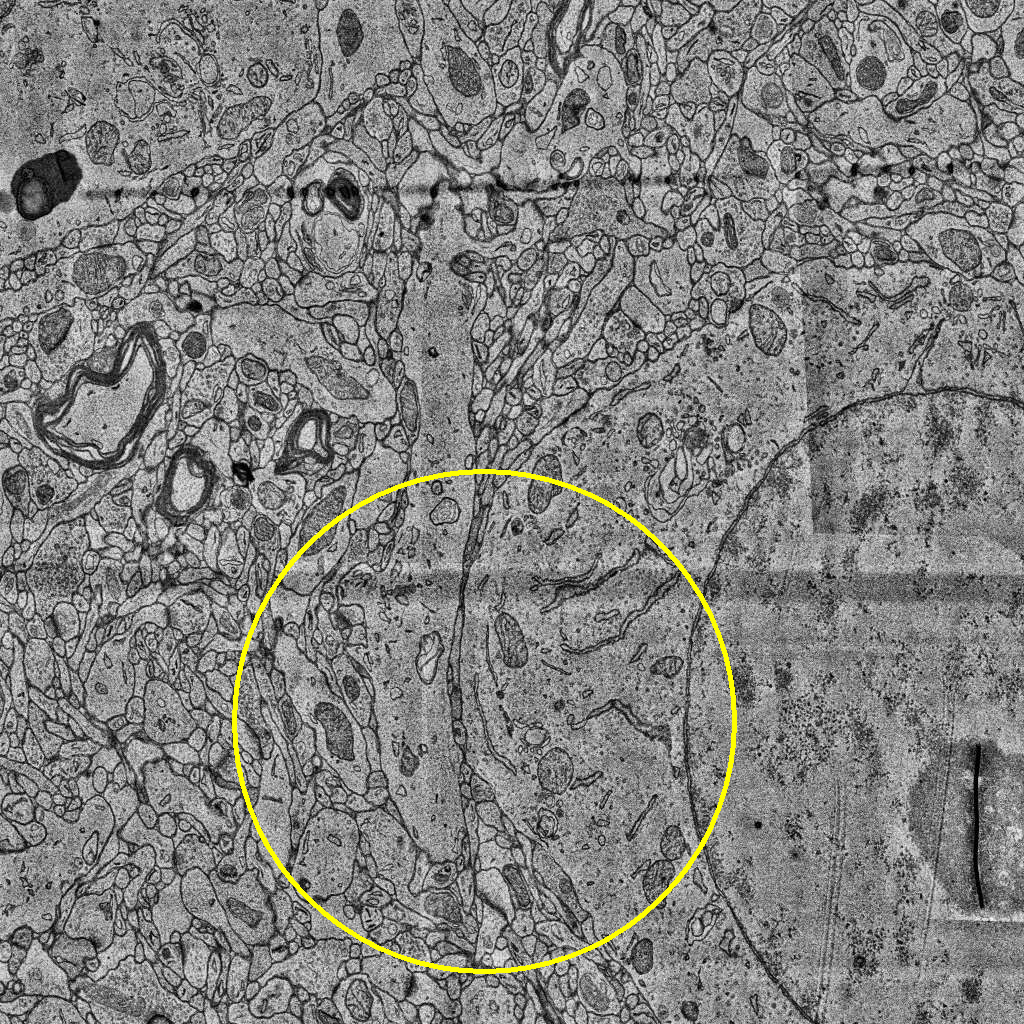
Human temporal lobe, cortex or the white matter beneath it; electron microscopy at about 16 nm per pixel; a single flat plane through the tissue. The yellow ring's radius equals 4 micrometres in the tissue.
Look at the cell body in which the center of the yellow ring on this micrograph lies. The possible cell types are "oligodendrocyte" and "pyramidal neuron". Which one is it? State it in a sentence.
The cell at the middle of the ring is an oligodendrocyte.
